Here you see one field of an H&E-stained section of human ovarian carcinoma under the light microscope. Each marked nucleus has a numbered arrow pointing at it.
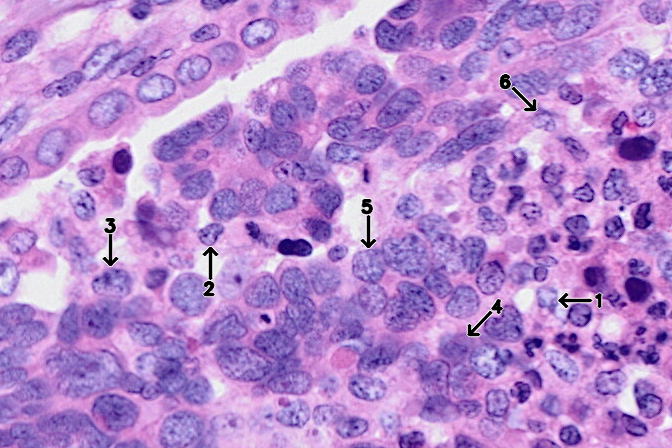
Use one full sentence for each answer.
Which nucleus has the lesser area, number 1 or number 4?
With nucleus 4 about 1.5 times its size, nucleus 1 is the smaller of the two.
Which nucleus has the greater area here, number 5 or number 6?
Nucleus 5 covers more area, about 2 times as much as nucleus 6.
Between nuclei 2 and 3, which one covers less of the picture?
The smaller nucleus is 2, and 3 covers roughly 2 times its area.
